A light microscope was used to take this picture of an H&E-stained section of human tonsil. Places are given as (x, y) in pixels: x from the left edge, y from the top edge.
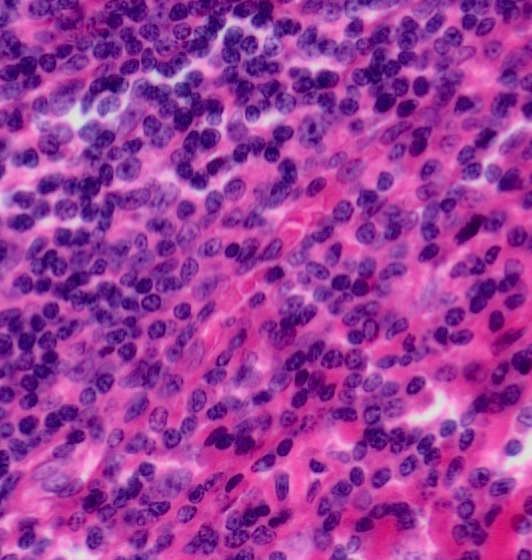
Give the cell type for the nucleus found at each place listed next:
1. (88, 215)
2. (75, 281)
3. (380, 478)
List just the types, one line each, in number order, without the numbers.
small lymphocyte
small lymphocyte
plasma cell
